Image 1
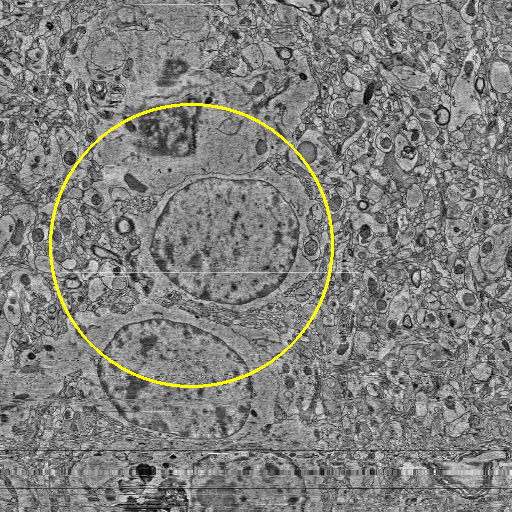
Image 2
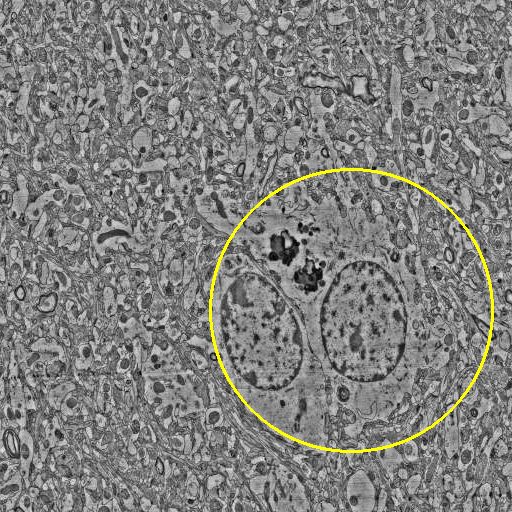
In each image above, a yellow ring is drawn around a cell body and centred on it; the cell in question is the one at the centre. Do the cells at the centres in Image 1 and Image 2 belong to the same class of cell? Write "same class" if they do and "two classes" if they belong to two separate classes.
same class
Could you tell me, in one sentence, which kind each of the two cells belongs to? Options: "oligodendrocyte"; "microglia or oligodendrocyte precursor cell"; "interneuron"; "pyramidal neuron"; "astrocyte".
Each of the two cells is an astrocyte.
